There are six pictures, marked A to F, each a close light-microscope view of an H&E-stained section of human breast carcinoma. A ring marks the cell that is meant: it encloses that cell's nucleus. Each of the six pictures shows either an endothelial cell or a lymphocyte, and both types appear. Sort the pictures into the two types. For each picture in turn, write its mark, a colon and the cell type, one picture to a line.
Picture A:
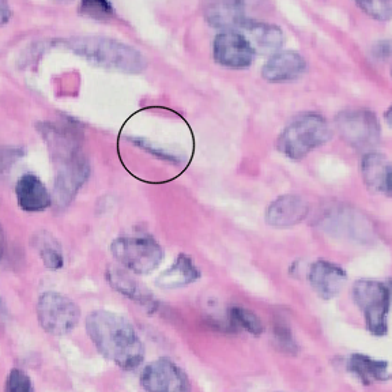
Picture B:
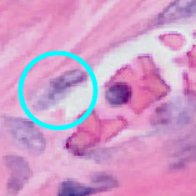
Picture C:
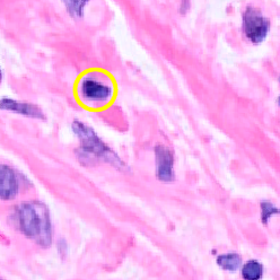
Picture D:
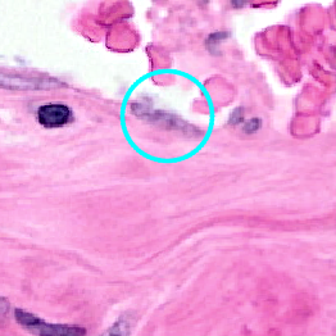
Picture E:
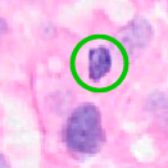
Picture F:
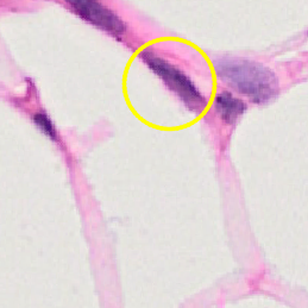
A: endothelial cell
B: endothelial cell
C: lymphocyte
D: endothelial cell
E: lymphocyte
F: endothelial cell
